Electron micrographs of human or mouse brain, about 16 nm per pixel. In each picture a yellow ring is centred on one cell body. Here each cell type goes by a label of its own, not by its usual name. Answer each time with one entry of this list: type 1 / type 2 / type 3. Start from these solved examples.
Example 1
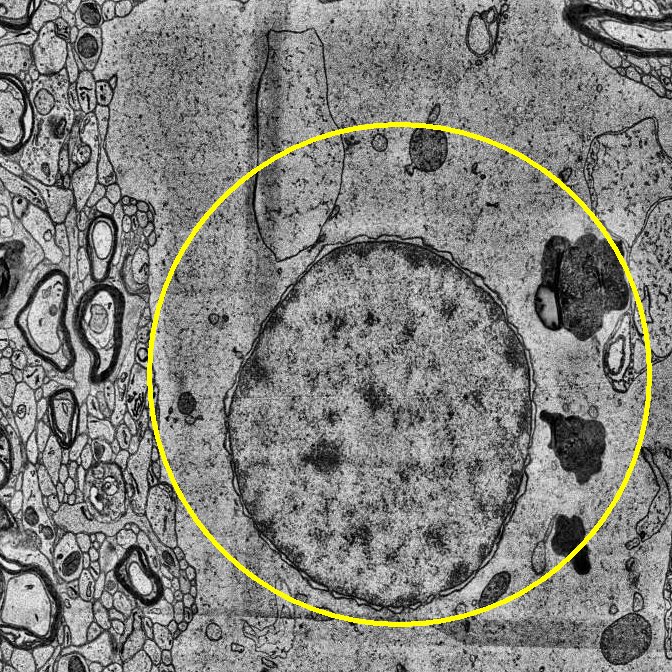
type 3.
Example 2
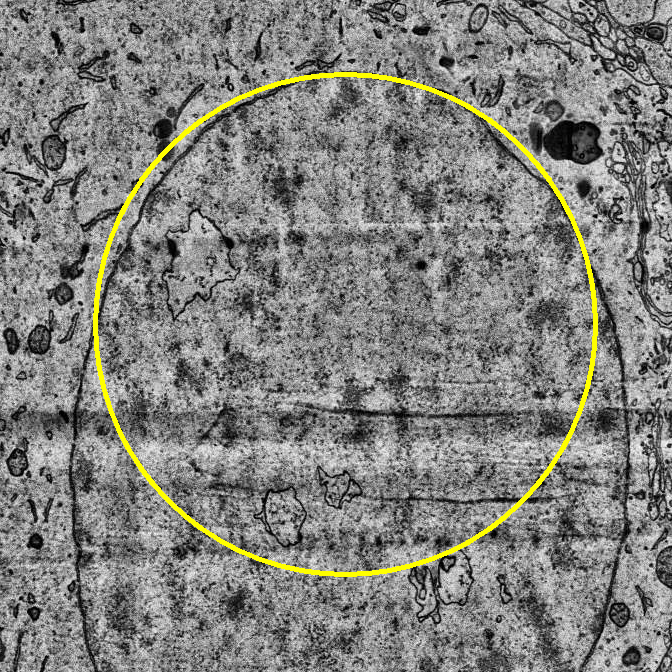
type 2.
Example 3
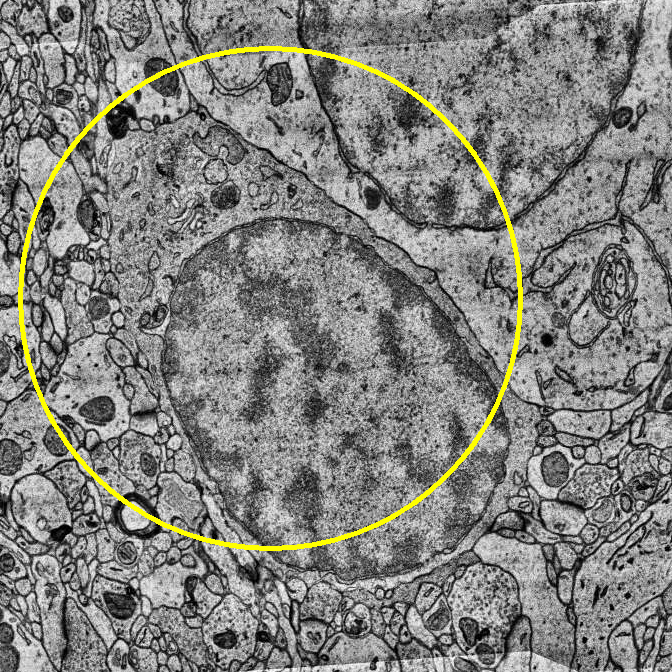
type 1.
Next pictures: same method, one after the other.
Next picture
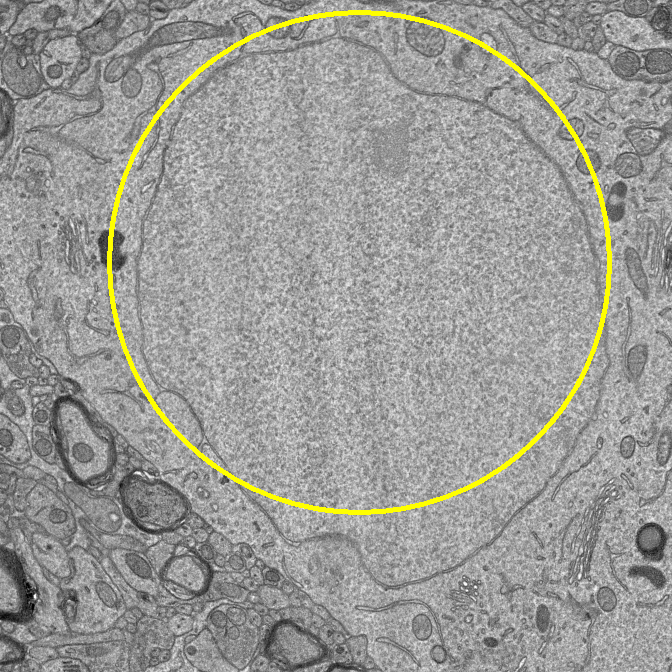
type 2.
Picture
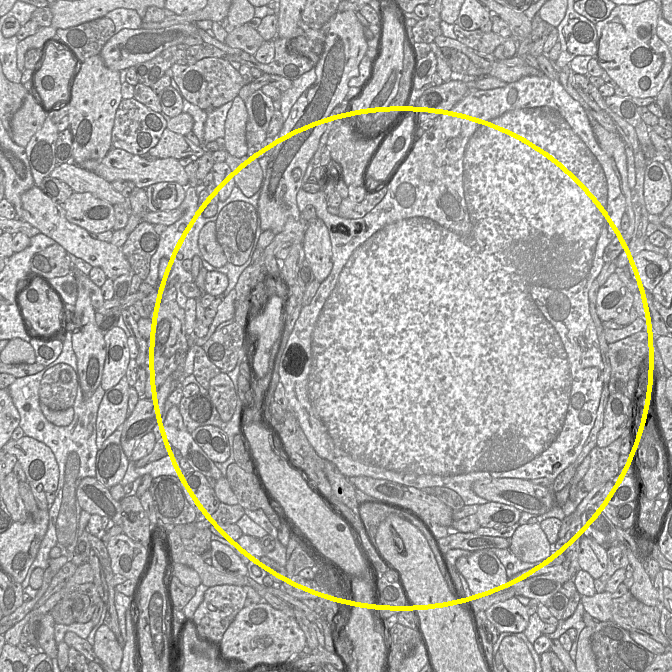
type 3.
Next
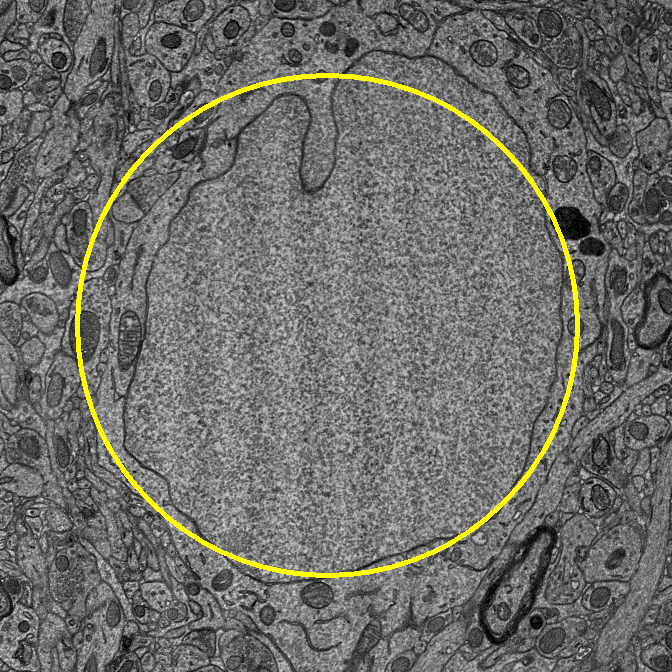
type 2.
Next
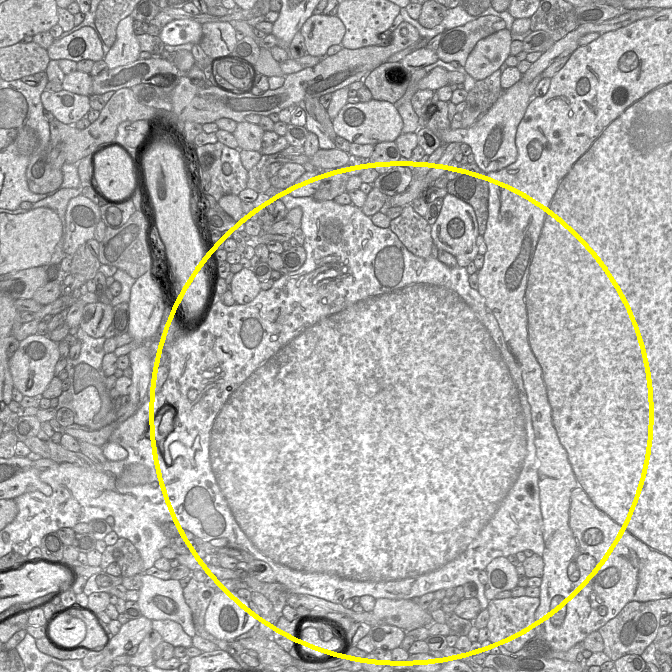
type 3.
